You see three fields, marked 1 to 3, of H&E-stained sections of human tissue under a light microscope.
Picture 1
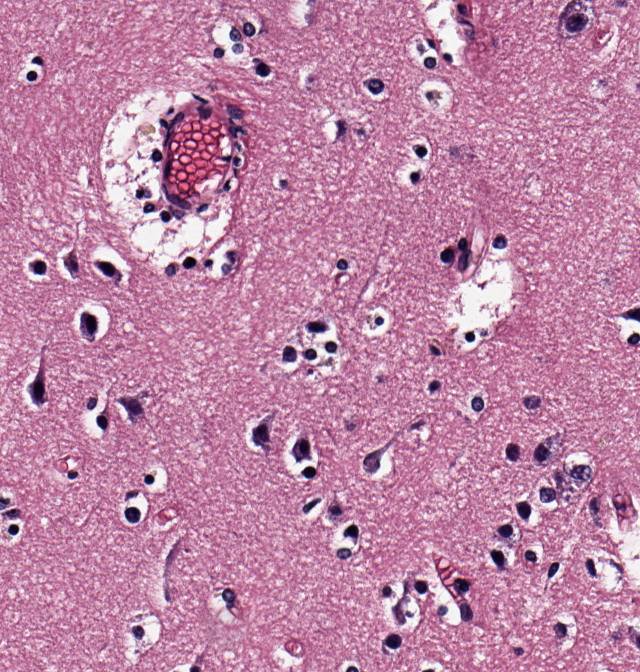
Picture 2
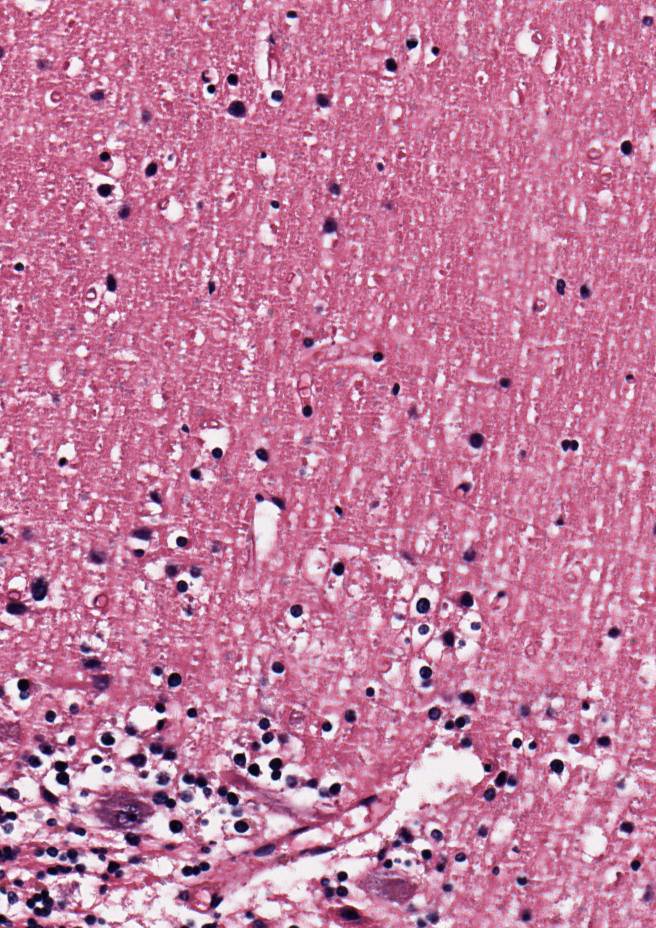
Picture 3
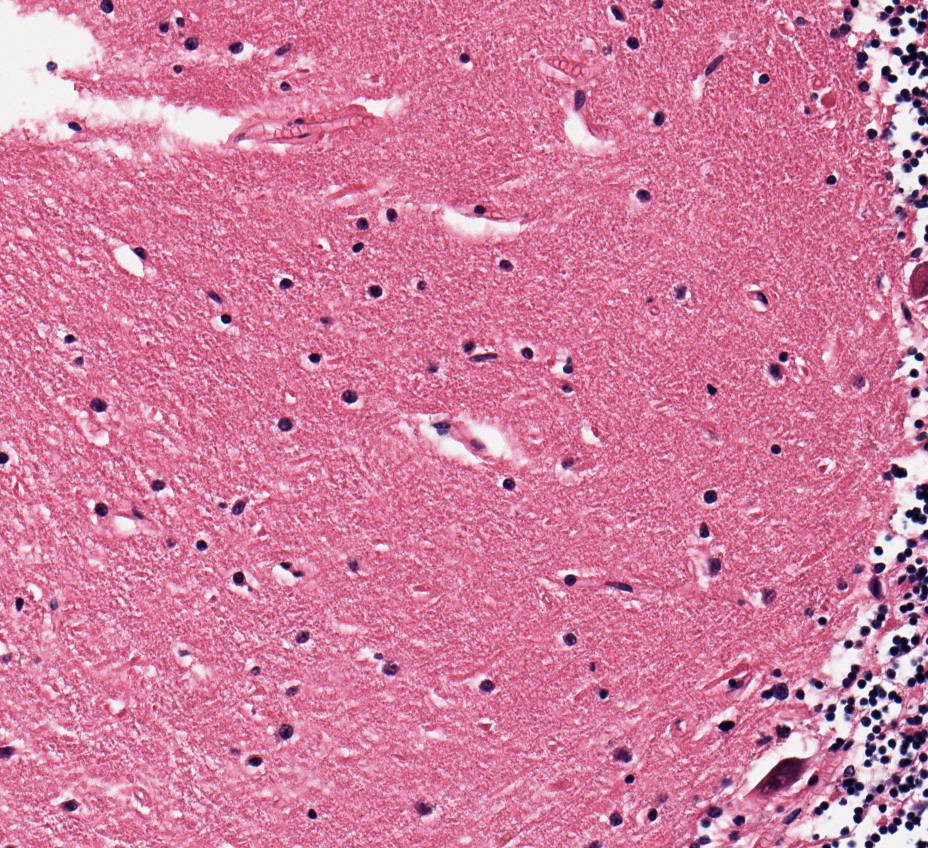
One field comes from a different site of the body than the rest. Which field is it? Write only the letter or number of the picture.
1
